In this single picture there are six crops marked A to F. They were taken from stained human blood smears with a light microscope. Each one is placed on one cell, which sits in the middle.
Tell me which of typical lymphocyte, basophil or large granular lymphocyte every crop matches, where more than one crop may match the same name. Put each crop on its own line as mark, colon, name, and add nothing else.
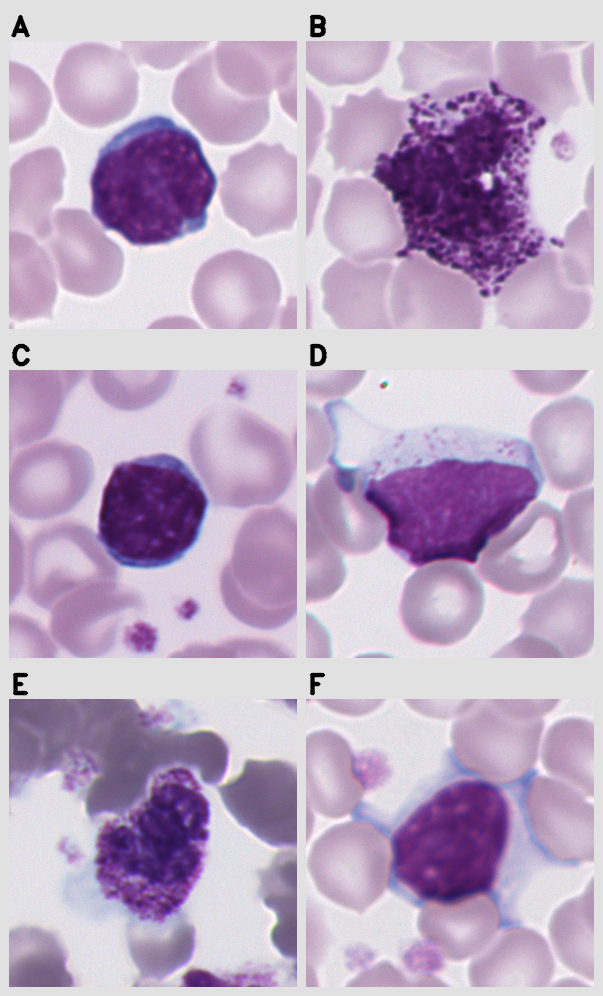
A: typical lymphocyte
B: basophil
C: typical lymphocyte
D: large granular lymphocyte
E: basophil
F: typical lymphocyte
